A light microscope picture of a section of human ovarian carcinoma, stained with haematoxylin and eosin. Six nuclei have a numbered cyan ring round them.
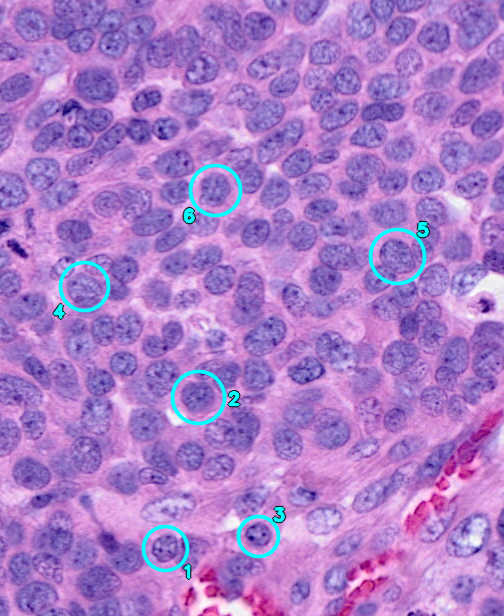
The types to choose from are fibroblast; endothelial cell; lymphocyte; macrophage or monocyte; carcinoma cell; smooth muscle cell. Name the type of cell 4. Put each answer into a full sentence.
To a carcinoma cell belongs the nucleus marked 4.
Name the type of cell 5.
The cell tagged with 5 in this tissue section is a carcinoma cell.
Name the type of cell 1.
Among the marked nuclei, number 1 belongs to a macrophage or monocyte.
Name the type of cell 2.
Regarding cell 2, this one is a carcinoma cell.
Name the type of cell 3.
The nucleus marked 3 is the nucleus of a macrophage or monocyte.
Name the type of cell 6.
The cell referred to as 6 is a carcinoma cell.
